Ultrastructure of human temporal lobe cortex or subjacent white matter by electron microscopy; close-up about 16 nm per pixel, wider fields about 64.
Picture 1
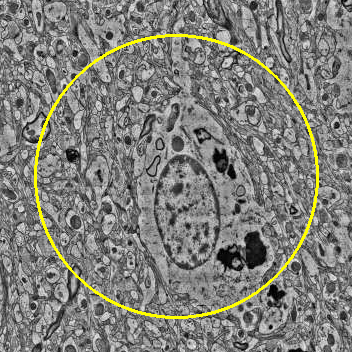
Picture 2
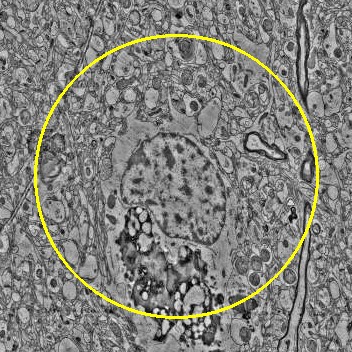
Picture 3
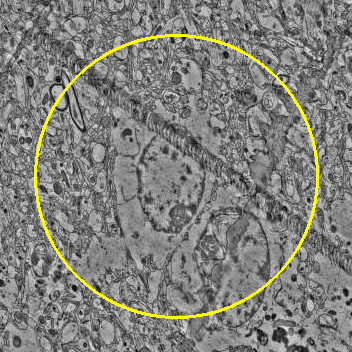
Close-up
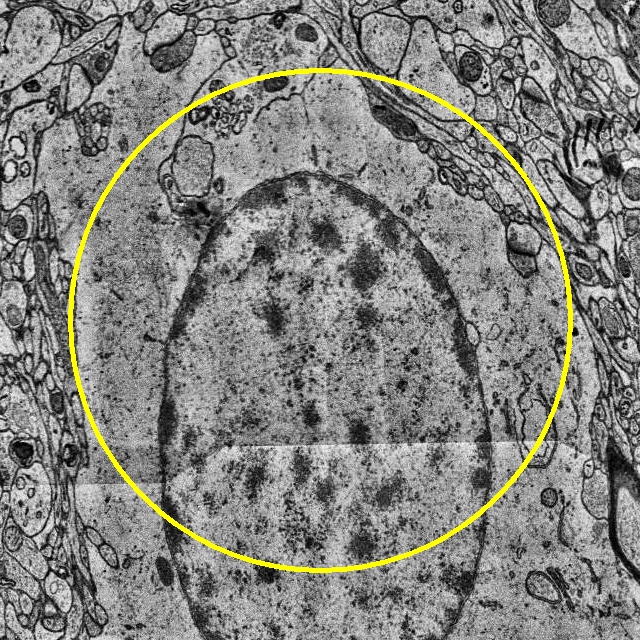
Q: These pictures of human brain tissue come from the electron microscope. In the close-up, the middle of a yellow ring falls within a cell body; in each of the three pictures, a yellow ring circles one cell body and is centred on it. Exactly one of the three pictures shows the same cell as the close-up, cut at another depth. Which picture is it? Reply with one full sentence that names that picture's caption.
The ringed cell in Picture 1 is the subject of the close-up.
